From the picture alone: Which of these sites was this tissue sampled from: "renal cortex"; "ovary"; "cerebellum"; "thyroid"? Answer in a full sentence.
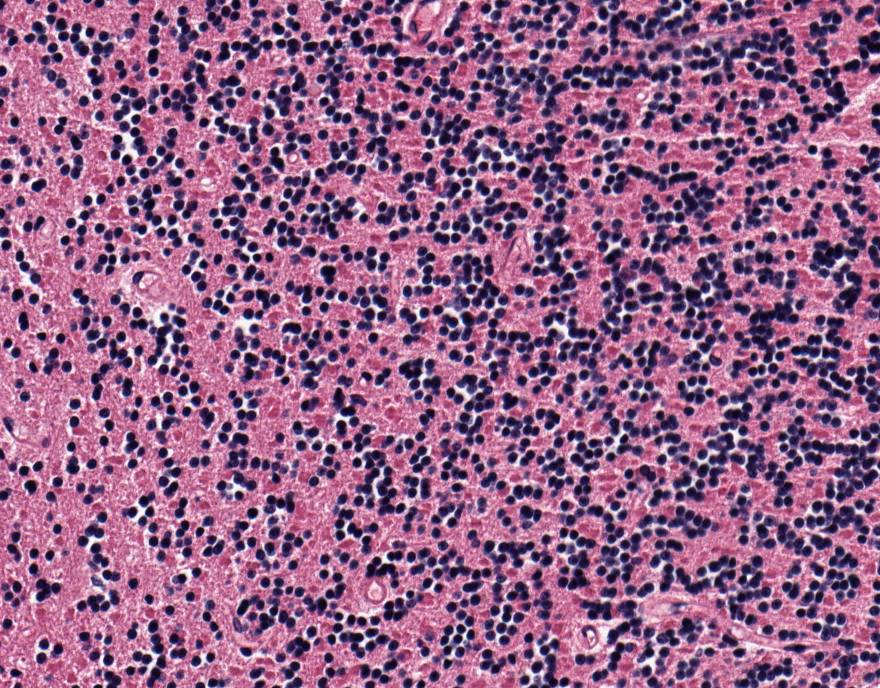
The site this tissue was sampled from is the cerebellum.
